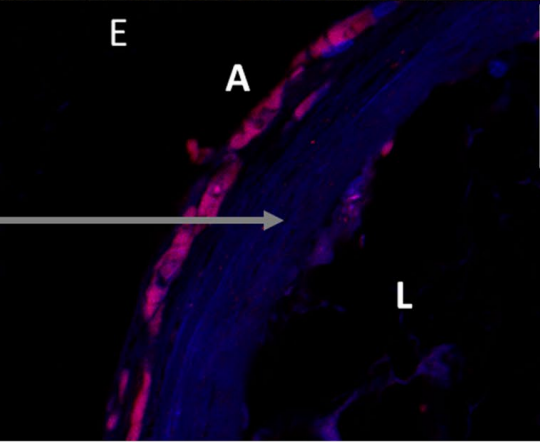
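A curved segment of a vessel wall appears as a broad blue band separating the outer adventitia from the dark lumen. Bright red cells form a row along the outer, adventitial surface of the wall, and fewer, fainter red cells lie along its inner, luminal surface.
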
